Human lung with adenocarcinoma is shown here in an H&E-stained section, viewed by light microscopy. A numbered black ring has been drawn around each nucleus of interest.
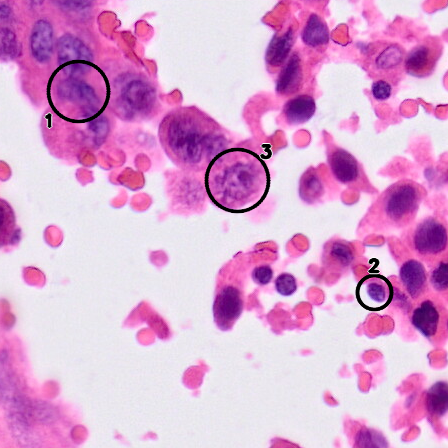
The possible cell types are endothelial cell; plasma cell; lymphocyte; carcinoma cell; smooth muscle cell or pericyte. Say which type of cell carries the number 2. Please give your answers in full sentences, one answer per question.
The cell marked with the number 2 is a lymphocyte.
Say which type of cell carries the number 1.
The expected answer is that cell 1 is a carcinoma cell.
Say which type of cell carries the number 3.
That cell with number 3 is a carcinoma cell.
